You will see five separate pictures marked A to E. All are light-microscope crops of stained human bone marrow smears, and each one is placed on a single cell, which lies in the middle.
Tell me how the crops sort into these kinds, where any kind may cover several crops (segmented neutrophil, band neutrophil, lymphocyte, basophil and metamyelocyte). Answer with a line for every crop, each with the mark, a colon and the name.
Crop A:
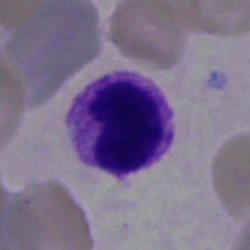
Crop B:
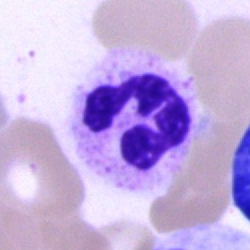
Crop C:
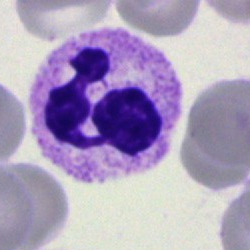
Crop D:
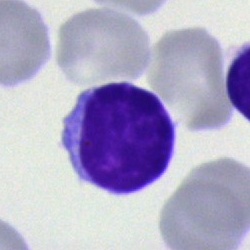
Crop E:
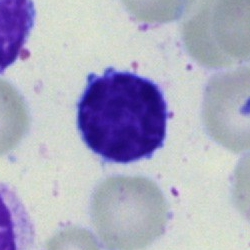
A: basophil
B: segmented neutrophil
C: segmented neutrophil
D: lymphocyte
E: lymphocyte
